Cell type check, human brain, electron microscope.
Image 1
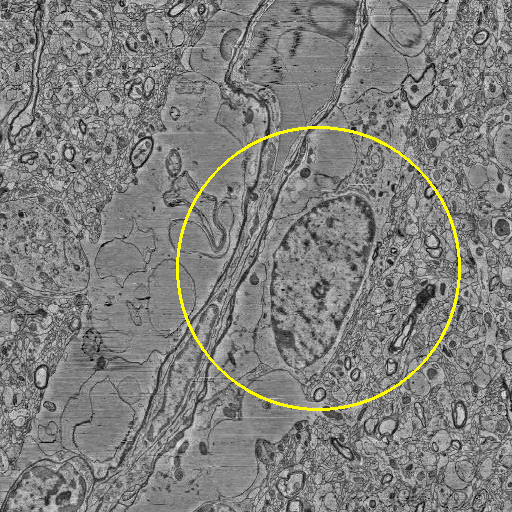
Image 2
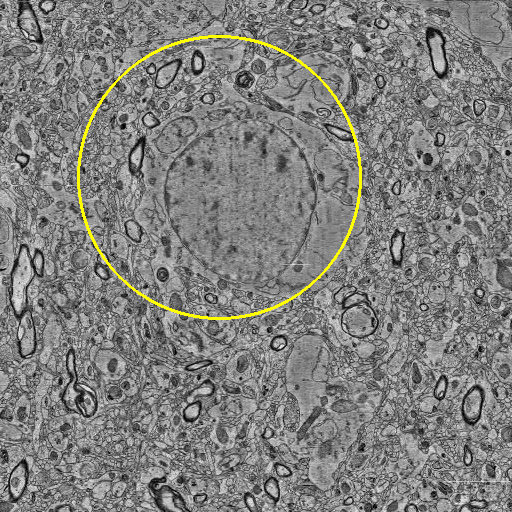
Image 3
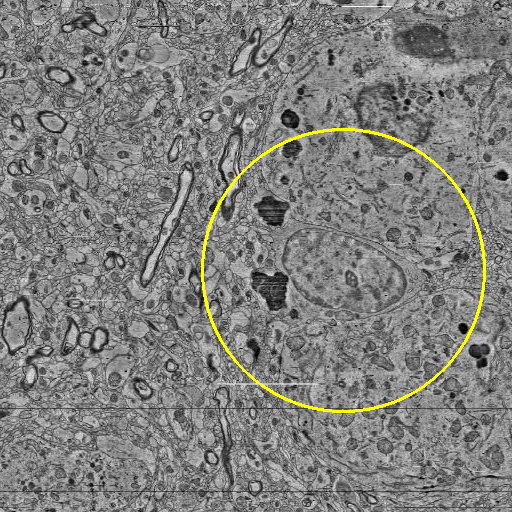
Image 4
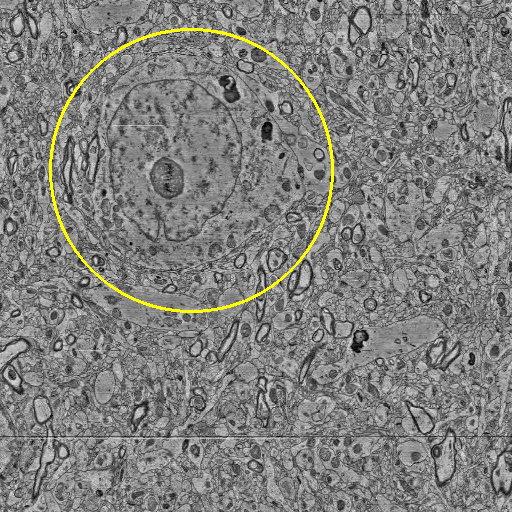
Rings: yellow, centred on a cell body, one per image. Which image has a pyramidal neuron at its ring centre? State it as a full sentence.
The ring in Image 4 is centred on it.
